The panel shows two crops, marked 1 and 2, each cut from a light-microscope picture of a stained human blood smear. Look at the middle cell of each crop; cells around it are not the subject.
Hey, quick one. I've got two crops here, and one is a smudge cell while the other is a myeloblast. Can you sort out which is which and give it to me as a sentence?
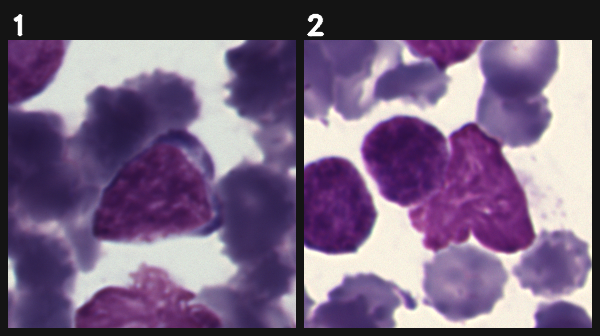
Classification: crop 1 is a myeloblast, crop 2 is a smudge cell.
